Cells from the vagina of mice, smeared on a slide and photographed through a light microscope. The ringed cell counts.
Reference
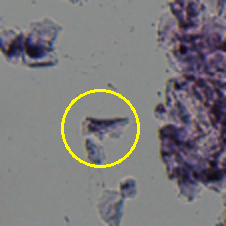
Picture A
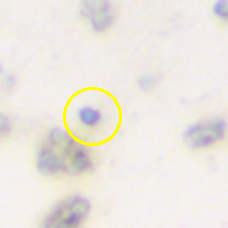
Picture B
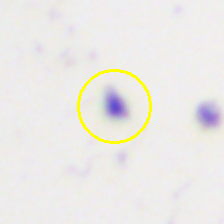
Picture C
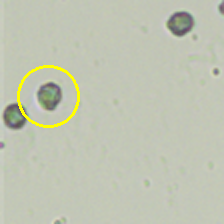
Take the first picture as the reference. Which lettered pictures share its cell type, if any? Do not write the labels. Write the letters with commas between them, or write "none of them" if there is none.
none of them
